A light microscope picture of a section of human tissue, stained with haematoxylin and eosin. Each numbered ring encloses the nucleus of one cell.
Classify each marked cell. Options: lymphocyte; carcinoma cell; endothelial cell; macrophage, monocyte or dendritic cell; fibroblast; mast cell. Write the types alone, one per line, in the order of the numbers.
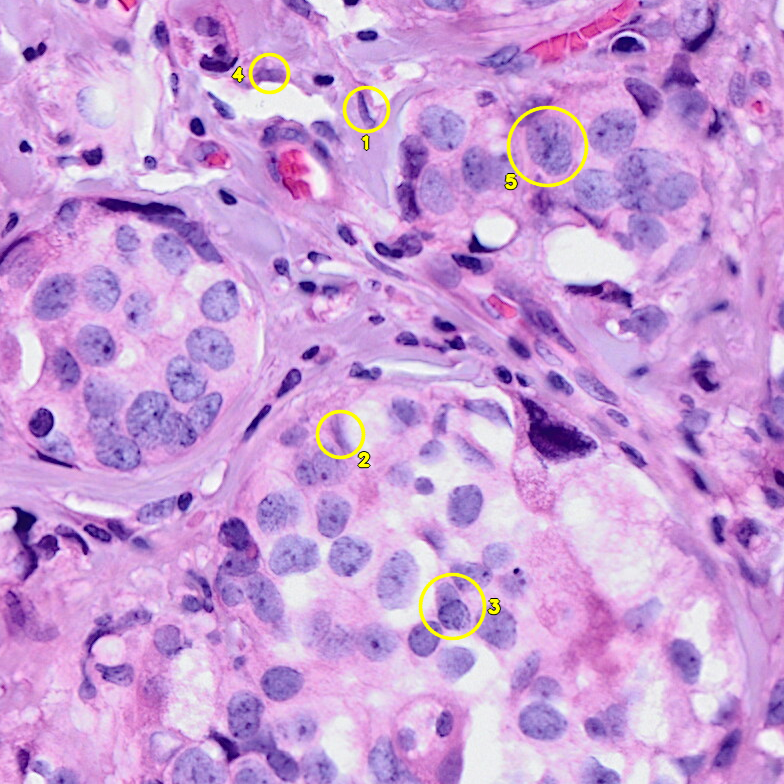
fibroblast
carcinoma cell
carcinoma cell
fibroblast
carcinoma cell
